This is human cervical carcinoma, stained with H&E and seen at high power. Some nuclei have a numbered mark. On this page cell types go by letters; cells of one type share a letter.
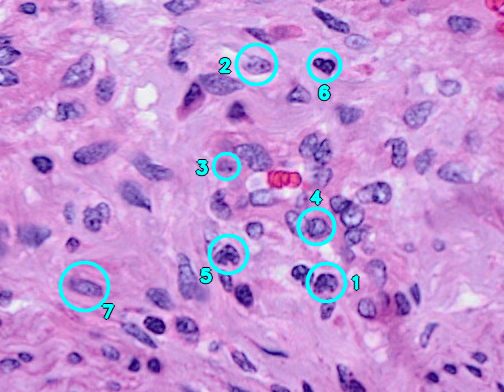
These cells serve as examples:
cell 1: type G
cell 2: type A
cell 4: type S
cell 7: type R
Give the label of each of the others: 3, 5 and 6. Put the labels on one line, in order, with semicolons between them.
type S; type G; type G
